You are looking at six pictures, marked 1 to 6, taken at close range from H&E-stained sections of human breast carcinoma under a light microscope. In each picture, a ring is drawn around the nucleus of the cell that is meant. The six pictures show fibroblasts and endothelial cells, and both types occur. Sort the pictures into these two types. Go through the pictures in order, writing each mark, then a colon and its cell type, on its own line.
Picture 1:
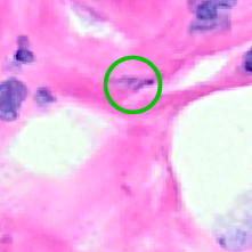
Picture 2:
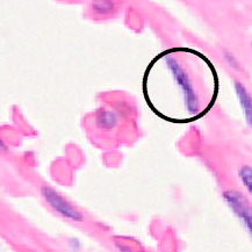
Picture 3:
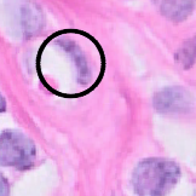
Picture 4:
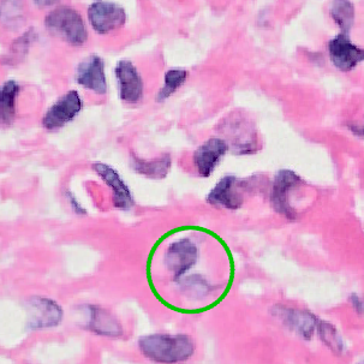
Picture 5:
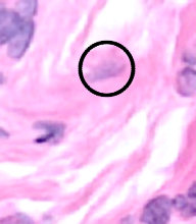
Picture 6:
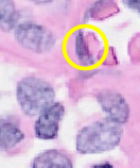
1: fibroblast
2: endothelial cell
3: endothelial cell
4: fibroblast
5: fibroblast
6: endothelial cell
